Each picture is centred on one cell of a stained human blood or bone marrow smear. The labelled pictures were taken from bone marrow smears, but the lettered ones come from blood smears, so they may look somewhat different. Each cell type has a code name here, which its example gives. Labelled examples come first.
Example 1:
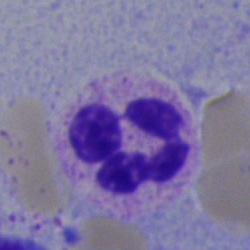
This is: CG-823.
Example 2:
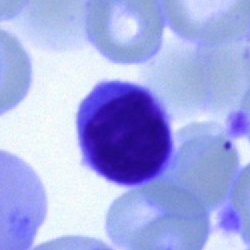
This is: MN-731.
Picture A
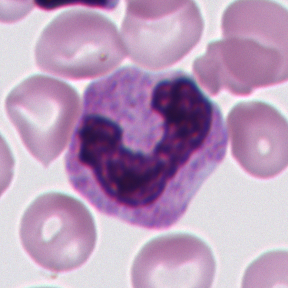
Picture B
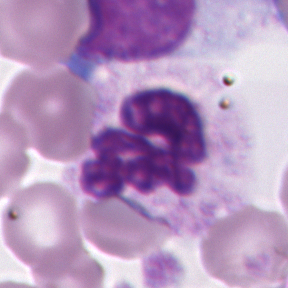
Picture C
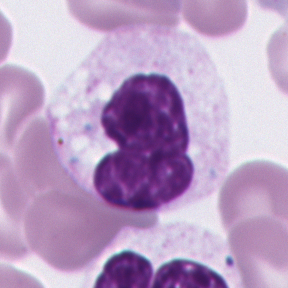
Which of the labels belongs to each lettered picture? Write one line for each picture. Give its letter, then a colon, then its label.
A: CG-823.
B: CG-823.
C: CG-823.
